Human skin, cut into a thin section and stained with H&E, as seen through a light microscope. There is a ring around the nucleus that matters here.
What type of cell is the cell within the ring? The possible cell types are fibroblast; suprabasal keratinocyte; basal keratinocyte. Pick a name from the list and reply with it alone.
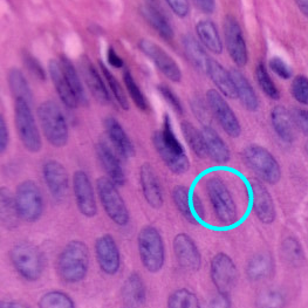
suprabasal keratinocyte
